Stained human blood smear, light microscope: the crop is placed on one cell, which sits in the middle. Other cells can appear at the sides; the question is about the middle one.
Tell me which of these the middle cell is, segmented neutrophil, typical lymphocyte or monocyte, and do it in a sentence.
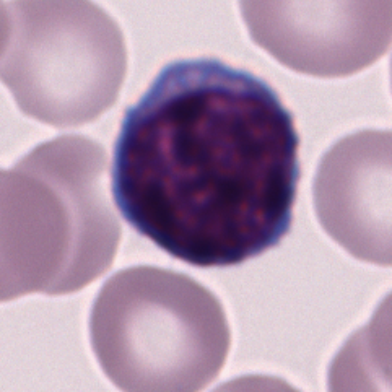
For this crop, the central cell is a typical lymphocyte.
